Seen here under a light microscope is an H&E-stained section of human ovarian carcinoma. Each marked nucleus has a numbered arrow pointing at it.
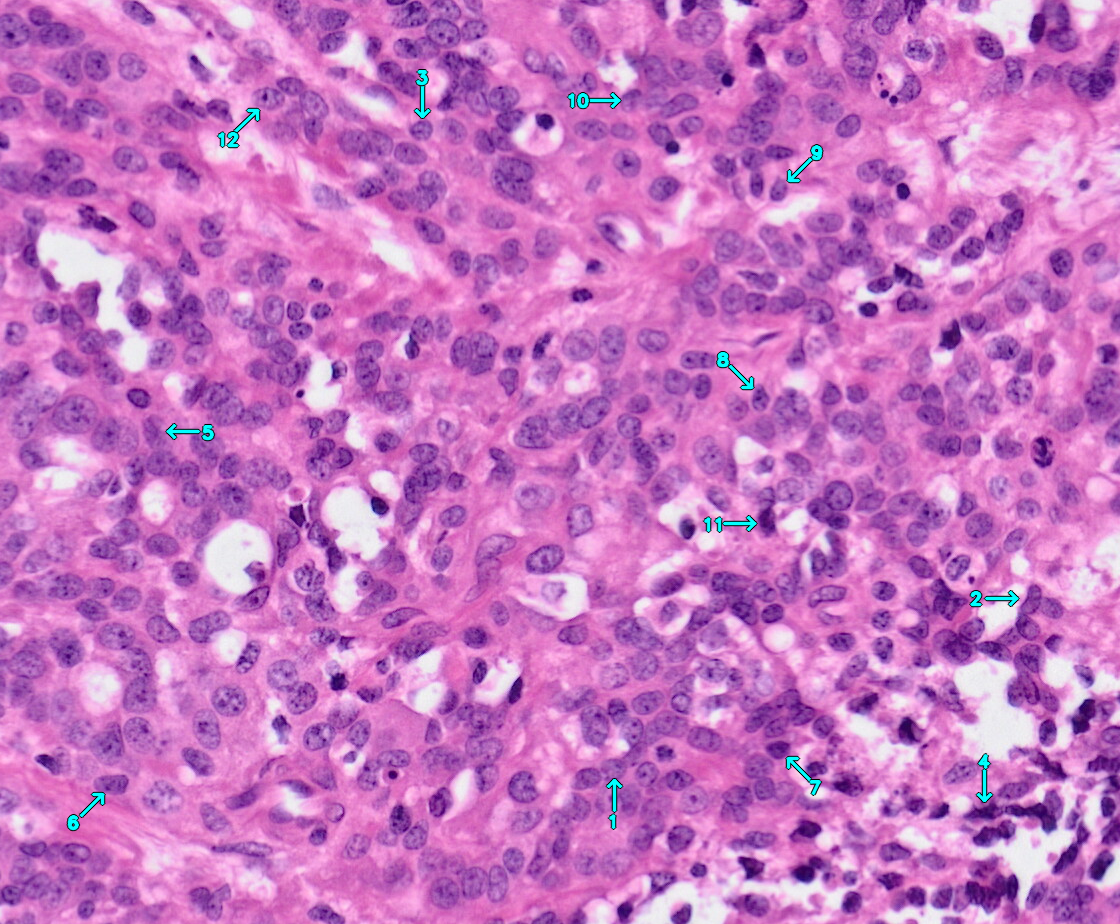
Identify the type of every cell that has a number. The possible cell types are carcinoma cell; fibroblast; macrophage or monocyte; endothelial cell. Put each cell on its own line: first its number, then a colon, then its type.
1: carcinoma cell
2: carcinoma cell
3: macrophage or monocyte
4: carcinoma cell
5: carcinoma cell
6: macrophage or monocyte
7: carcinoma cell
8: macrophage or monocyte
9: macrophage or monocyte
10: carcinoma cell
11: carcinoma cell
12: macrophage or monocyte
